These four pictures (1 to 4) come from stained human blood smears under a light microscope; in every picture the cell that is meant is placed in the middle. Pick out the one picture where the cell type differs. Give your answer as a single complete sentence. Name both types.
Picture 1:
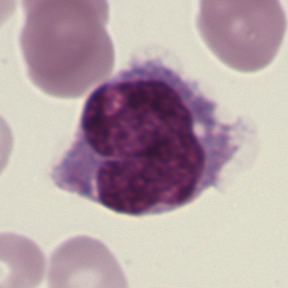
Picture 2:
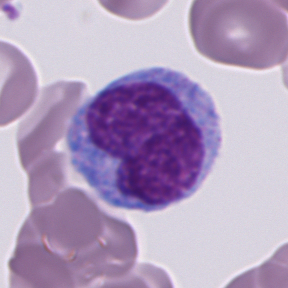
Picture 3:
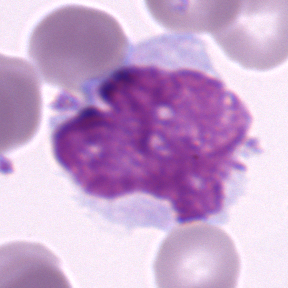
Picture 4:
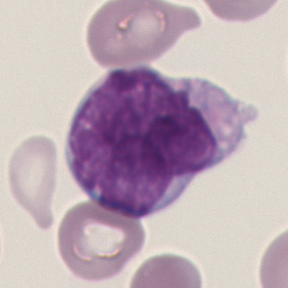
Picture 4 is the odd one out: it shows an atypical promyelocyte, while the others show monocytes.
